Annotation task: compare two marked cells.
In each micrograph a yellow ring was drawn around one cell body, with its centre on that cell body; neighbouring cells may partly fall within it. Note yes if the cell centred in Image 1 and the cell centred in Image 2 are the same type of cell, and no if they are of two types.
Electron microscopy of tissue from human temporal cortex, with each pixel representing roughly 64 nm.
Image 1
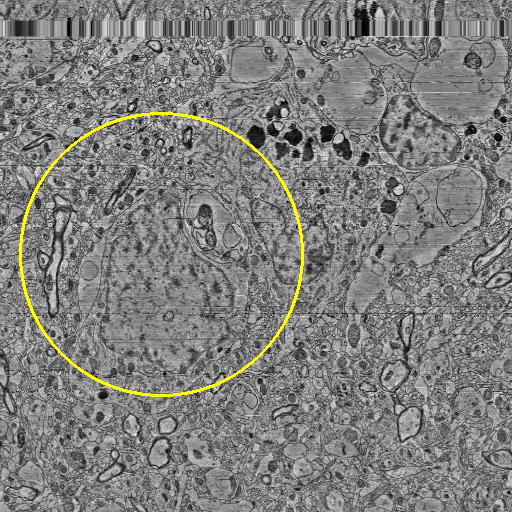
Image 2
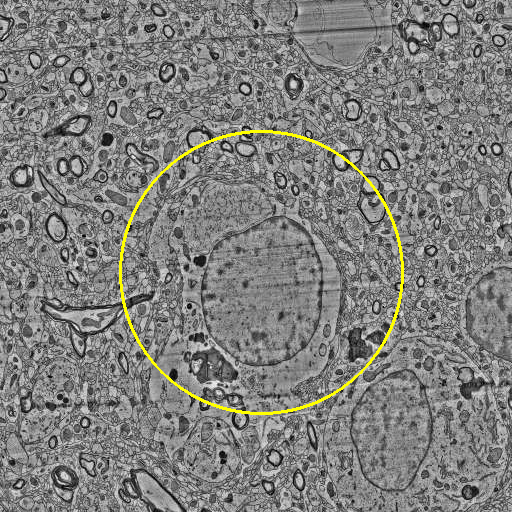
no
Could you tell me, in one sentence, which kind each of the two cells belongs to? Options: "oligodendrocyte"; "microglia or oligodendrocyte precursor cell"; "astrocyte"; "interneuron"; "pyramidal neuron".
At the centre of the first ring sits an interneuron, and at the centre of the second sits an astrocyte.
